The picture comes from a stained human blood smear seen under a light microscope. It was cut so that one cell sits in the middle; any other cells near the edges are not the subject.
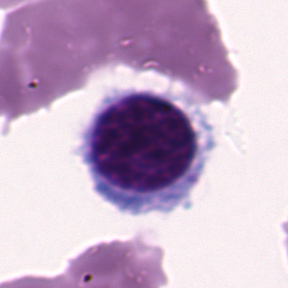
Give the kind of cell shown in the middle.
hairy cell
